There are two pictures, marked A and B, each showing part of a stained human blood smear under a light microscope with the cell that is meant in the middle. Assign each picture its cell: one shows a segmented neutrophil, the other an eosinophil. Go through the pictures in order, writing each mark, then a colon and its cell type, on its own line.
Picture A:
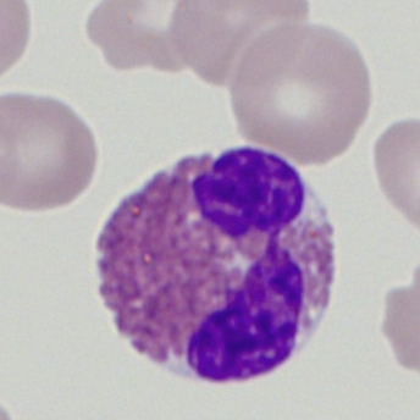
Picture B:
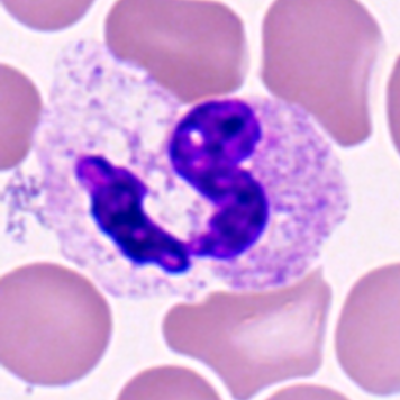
A: eosinophil
B: segmented neutrophil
